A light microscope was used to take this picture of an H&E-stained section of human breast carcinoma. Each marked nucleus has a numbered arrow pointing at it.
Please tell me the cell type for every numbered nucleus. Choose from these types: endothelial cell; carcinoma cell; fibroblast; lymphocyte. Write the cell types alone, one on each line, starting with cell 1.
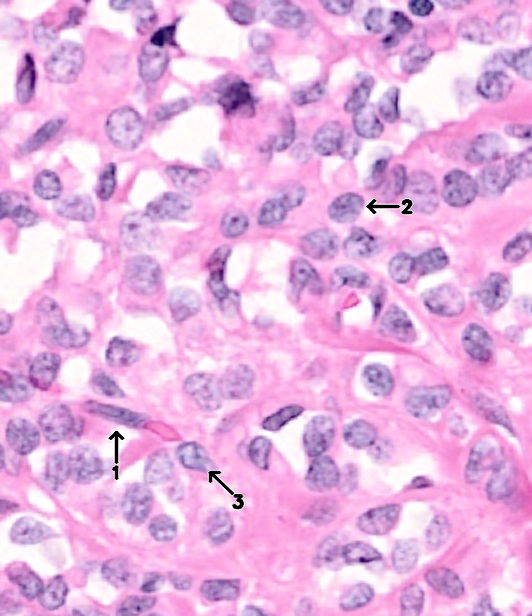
endothelial cell
carcinoma cell
endothelial cell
